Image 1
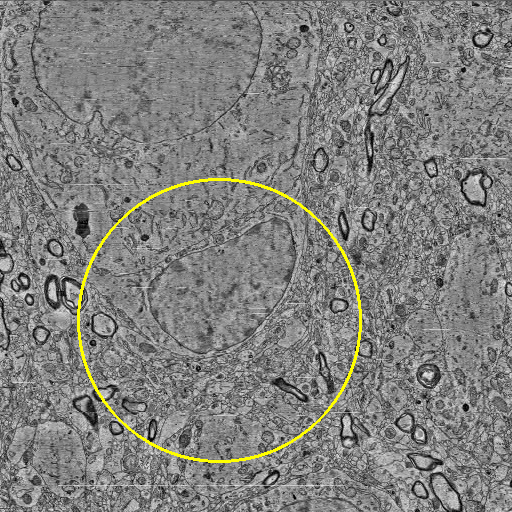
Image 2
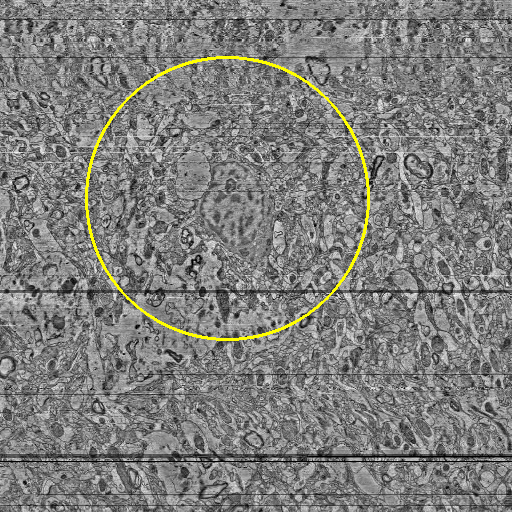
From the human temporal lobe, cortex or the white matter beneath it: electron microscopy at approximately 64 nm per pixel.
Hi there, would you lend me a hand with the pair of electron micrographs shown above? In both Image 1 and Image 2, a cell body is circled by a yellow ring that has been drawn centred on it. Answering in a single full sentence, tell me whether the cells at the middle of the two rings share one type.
No, the ringed cells in Image 1 and Image 2 belong to two types.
